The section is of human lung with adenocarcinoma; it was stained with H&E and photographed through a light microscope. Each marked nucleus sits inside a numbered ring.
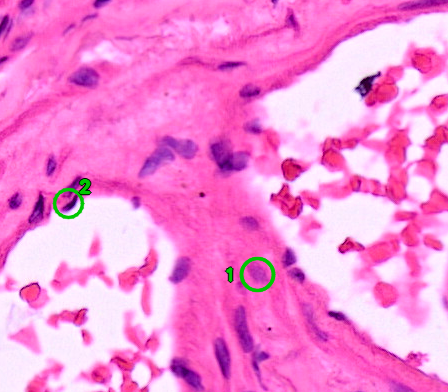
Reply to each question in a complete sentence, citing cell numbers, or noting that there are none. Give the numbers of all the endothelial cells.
Only number 2 is an endothelial cell; none of the others are.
